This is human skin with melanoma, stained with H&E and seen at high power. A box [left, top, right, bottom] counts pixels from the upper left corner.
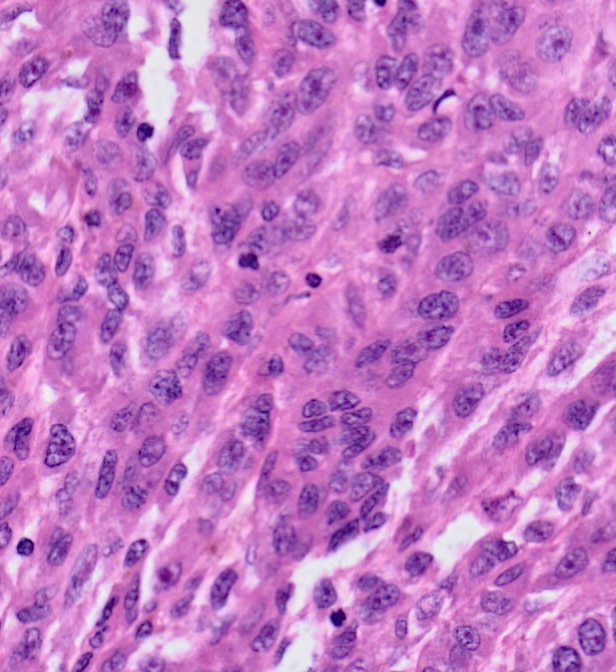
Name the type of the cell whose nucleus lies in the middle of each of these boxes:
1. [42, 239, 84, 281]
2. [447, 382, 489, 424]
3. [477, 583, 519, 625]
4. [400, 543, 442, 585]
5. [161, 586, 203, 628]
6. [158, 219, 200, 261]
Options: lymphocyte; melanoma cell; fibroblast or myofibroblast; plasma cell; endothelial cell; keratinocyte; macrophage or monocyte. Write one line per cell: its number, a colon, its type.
1: macrophage or monocyte
2: melanoma cell
3: melanoma cell
4: melanoma cell
5: melanoma cell
6: macrophage or monocyte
